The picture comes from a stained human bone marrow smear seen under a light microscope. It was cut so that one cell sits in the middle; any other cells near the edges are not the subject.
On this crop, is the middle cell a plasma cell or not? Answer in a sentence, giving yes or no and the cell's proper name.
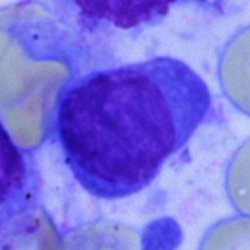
Yes, the one cell at the centre is a plasma cell.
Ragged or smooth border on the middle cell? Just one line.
No surface projections are present; the cell outline is smooth.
